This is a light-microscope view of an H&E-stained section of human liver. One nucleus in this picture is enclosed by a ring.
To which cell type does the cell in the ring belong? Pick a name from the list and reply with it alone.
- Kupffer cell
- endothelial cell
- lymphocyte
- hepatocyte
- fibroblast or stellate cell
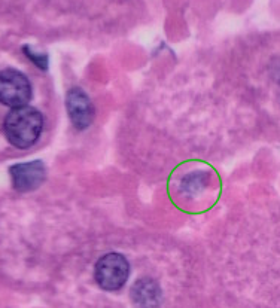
endothelial cell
